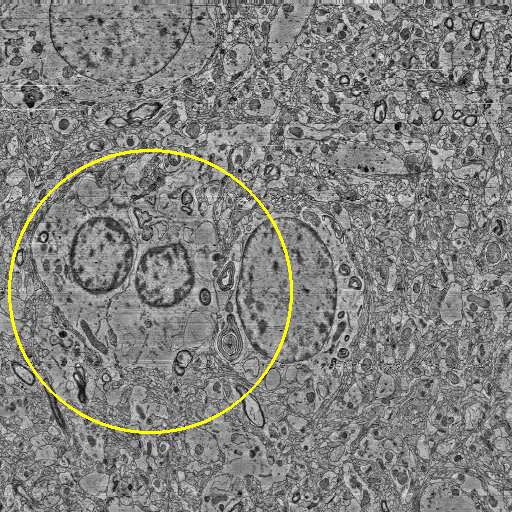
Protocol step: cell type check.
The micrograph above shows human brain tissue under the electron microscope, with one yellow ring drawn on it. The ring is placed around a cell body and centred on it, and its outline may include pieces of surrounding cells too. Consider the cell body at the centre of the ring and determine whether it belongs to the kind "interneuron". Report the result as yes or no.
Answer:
no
